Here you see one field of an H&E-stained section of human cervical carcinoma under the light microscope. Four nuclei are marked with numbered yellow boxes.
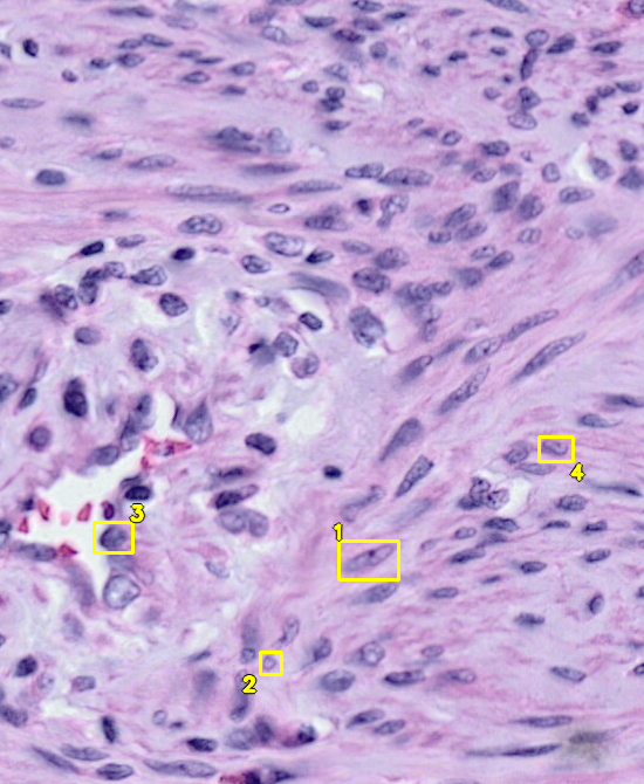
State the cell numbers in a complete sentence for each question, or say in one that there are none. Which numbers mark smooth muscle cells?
Cells 1, 2 and 4 share one type; they are smooth muscle cells.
